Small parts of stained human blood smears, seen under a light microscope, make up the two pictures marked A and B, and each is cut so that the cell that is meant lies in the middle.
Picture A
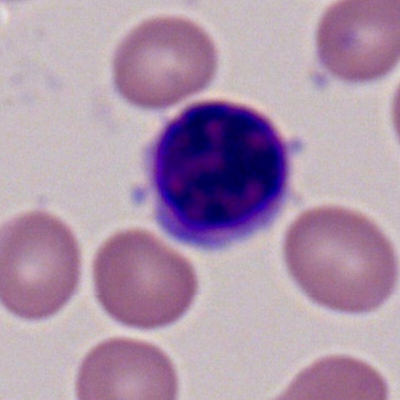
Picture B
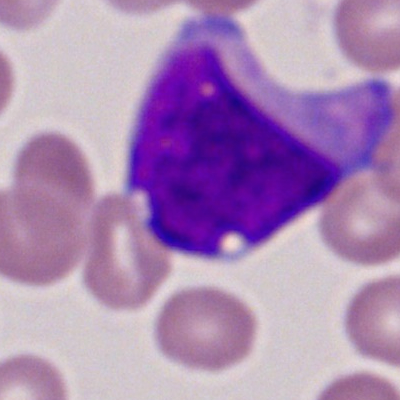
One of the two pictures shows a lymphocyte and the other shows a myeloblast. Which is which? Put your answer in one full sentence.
In picture A the cell is a lymphocyte; in picture B, a myeloblast.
